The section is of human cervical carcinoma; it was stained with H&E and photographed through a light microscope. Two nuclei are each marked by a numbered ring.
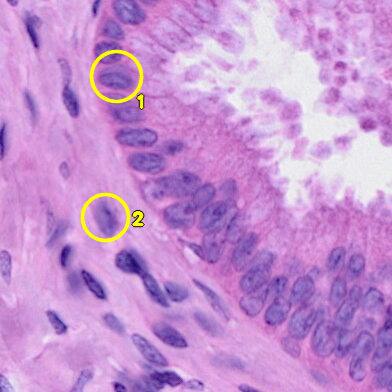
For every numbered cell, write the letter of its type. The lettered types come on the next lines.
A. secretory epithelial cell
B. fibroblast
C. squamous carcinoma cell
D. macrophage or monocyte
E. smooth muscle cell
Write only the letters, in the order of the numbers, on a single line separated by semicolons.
A; B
